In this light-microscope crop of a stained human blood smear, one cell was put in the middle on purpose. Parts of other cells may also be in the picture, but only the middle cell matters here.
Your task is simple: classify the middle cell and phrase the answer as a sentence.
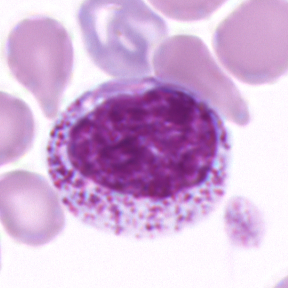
The middle cell in this particular crop is a metamyelocyte.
